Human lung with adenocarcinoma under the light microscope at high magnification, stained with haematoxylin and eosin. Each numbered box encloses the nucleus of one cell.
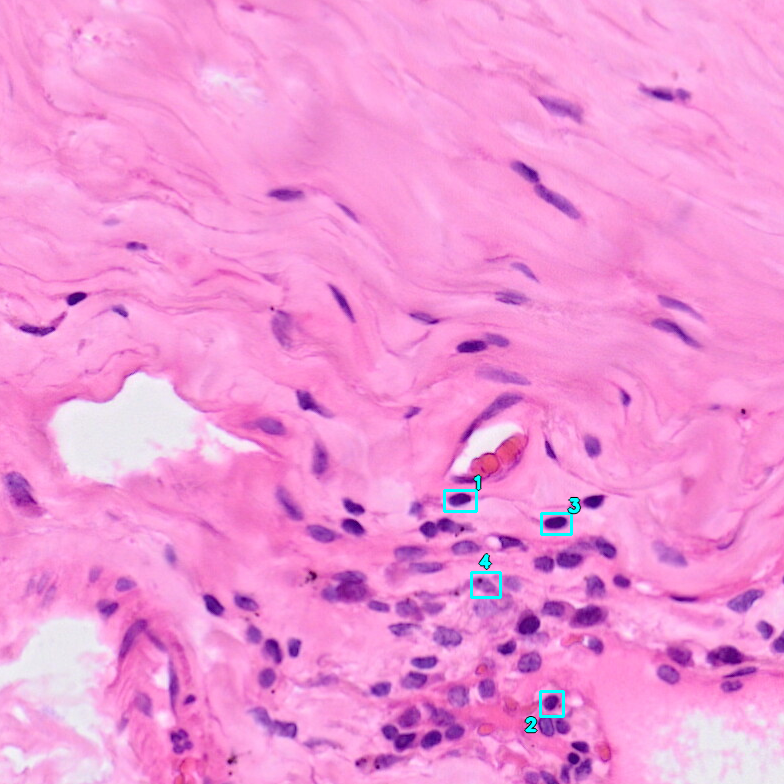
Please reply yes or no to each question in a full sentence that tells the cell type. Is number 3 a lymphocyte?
Yes, the cell indicated by number 3 is a lymphocyte.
